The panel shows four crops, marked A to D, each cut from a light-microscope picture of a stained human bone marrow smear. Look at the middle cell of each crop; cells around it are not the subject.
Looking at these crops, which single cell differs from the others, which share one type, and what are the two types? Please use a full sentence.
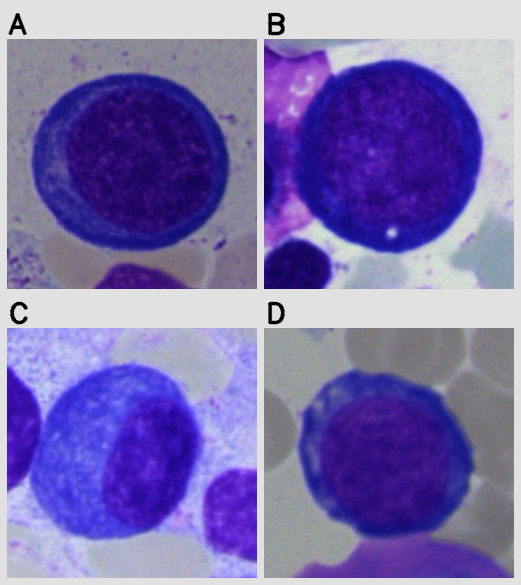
Found in all crops but one are proerythroblasts; the exception, crop C, contains a plasma cell.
